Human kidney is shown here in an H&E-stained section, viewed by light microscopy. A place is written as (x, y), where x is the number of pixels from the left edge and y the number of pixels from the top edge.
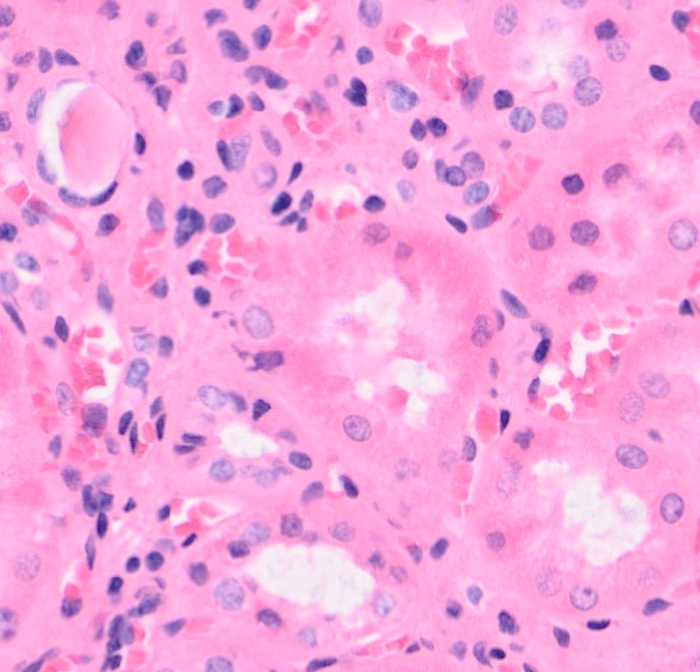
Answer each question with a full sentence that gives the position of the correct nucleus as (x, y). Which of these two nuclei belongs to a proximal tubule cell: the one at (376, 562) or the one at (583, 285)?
The cell to which the nucleus at (583, 285) belongs is a proximal tubule cell.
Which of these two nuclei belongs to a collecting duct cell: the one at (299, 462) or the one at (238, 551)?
Of the two options, the nucleus at (299, 462) is the one that belongs to a collecting duct cell.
